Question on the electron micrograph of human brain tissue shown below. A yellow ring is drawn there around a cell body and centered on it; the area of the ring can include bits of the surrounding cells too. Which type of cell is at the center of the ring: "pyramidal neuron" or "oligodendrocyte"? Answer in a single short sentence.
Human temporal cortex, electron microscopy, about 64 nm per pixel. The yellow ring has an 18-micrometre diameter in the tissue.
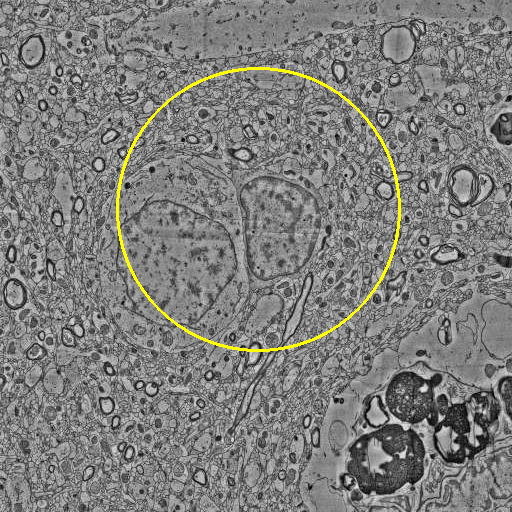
The ring is centered on an oligodendrocyte.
